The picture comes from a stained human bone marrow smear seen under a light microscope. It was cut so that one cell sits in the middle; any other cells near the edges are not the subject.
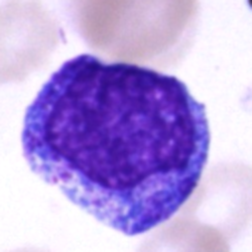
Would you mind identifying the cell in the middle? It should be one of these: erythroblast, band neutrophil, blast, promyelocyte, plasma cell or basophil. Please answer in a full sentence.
The cell in the middle of this crop is a promyelocyte.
